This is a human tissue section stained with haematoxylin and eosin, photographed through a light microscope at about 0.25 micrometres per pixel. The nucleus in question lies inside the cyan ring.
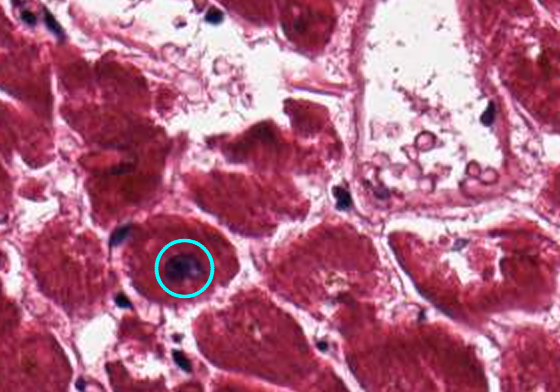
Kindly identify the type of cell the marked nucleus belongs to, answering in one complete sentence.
The marked nucleus is that of a cardiomyocyte in this section.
